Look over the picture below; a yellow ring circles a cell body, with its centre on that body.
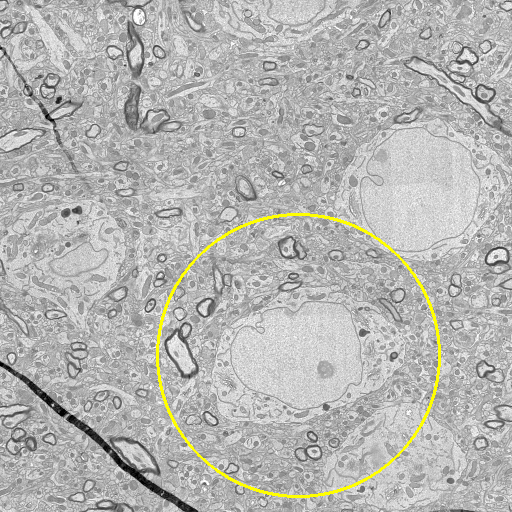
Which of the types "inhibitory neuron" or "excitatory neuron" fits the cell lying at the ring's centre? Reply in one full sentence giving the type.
The picture shows an excitatory neuron at the centre of the yellow ring.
